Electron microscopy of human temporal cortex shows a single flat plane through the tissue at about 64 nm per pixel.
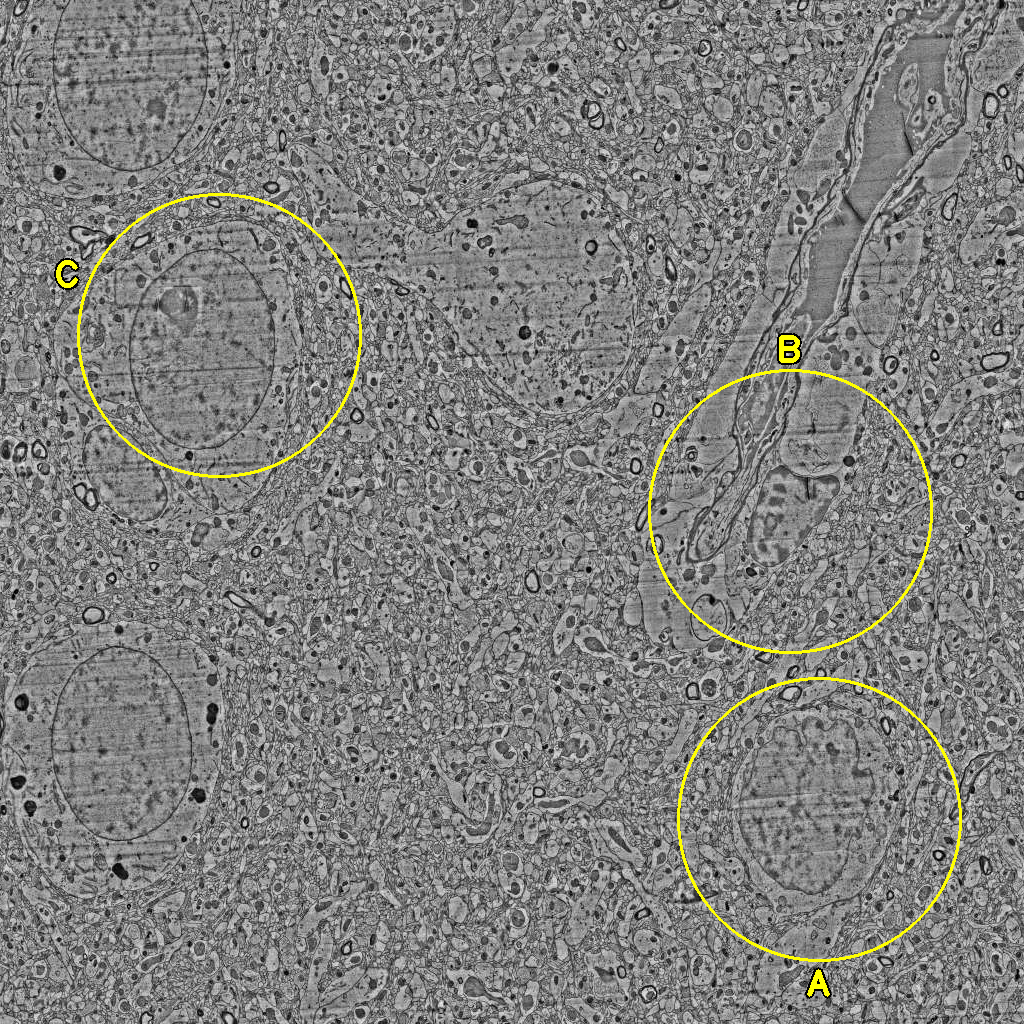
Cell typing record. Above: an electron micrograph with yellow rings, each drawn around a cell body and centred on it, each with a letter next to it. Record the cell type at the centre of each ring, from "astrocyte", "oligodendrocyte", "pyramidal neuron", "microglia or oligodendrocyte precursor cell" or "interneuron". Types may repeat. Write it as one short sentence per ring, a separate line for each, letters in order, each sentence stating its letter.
Ring A circles an interneuron.
Ring B circles a microglial cell or oligodendrocyte precursor cell.
Ring C circles a pyramidal neuron.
